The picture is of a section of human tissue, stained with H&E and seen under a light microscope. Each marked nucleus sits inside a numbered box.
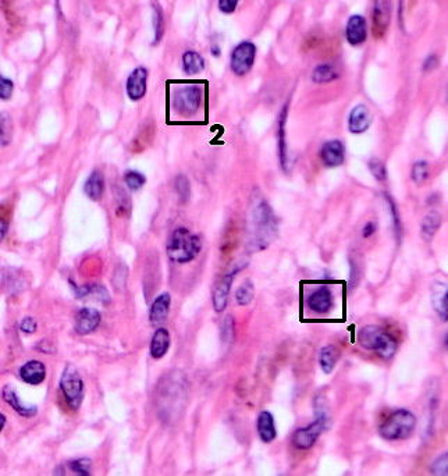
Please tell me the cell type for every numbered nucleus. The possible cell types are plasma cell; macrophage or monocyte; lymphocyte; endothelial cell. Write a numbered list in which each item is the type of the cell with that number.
1. plasma cell
2. macrophage or monocyte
